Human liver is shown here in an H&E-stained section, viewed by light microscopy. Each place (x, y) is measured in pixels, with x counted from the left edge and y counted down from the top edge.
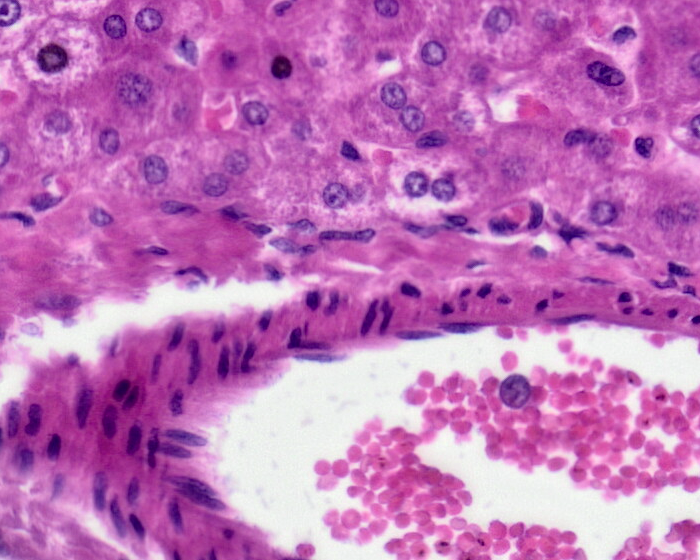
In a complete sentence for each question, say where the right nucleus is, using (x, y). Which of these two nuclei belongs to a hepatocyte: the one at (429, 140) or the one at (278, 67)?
Among the two nuclei, the one found at (278, 67) belongs to a hepatocyte.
